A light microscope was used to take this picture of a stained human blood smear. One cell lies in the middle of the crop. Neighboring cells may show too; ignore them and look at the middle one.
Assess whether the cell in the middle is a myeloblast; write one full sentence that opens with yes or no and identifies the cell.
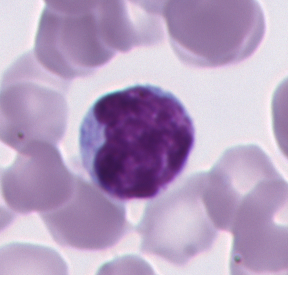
No, the cell placed at the center is a typical lymphocyte rather than a myeloblast.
